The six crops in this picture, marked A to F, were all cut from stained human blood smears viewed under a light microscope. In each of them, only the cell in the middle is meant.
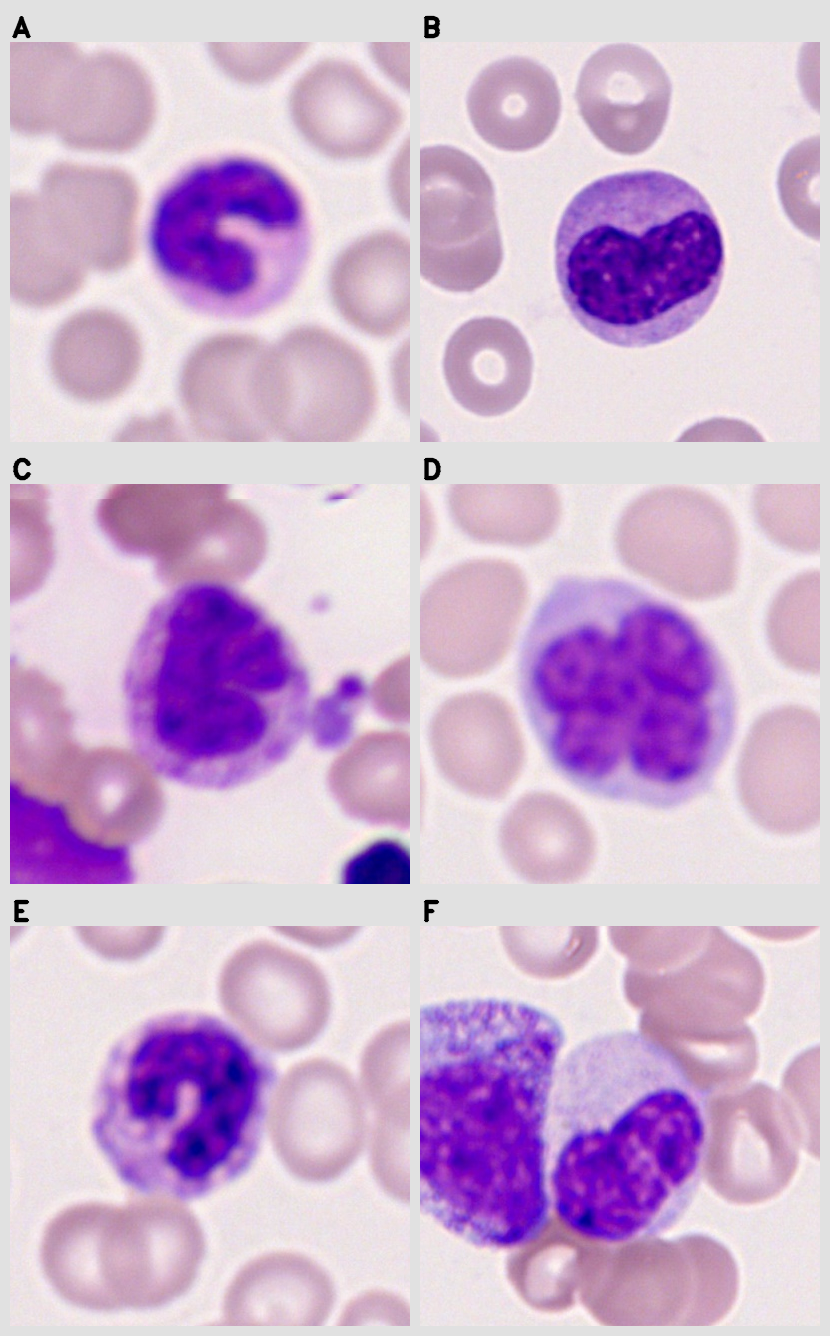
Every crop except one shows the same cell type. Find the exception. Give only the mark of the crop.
D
